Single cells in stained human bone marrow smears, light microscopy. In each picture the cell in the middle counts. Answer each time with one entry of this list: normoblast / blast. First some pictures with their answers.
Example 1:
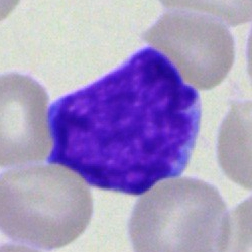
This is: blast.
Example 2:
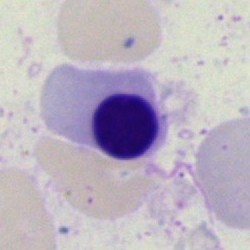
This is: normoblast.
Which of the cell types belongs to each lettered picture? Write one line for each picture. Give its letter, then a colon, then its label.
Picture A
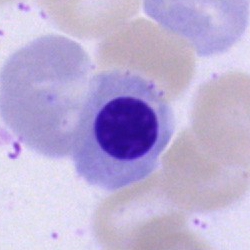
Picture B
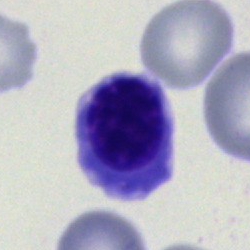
A: normoblast.
B: normoblast.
